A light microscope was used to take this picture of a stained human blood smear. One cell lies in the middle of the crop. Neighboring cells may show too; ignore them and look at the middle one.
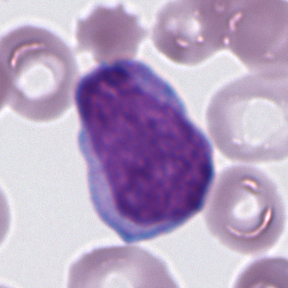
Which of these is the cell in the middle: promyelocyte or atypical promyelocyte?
atypical promyelocyte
